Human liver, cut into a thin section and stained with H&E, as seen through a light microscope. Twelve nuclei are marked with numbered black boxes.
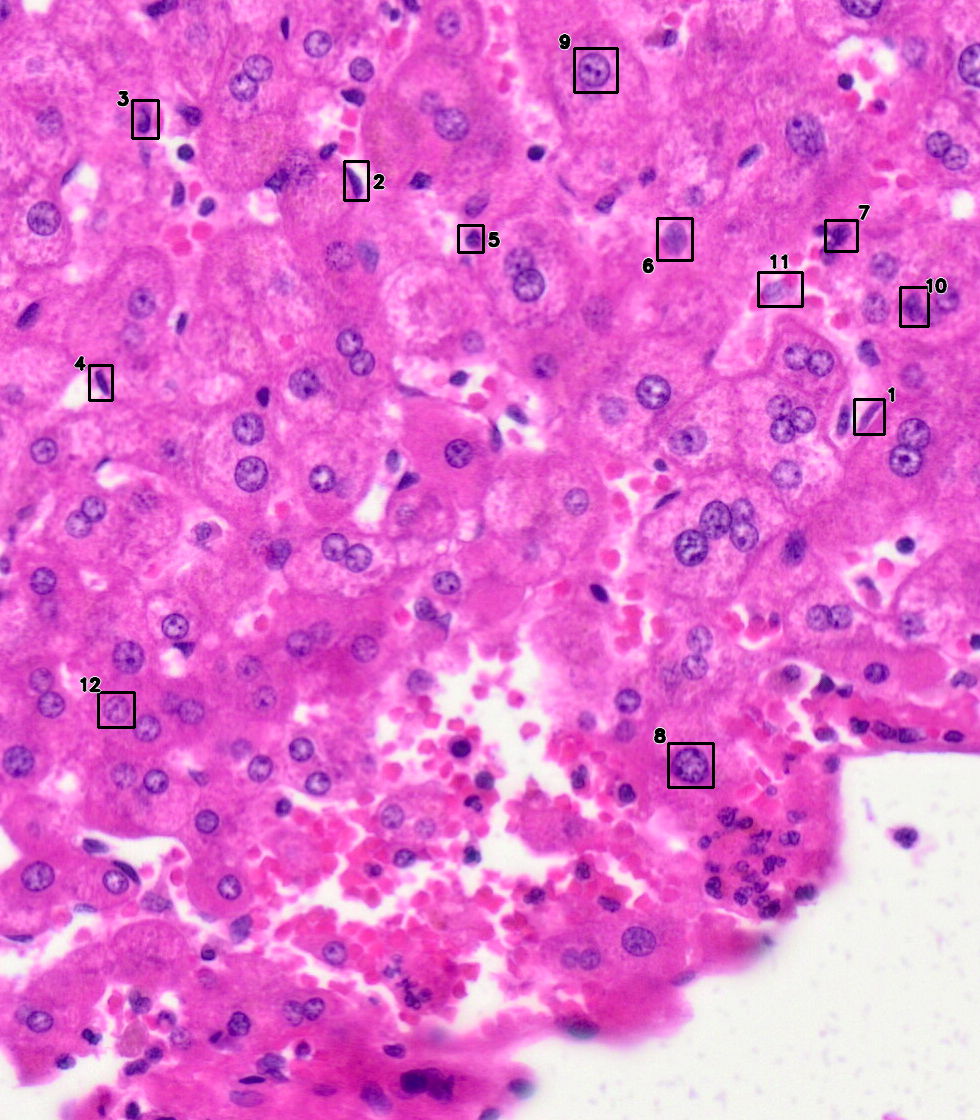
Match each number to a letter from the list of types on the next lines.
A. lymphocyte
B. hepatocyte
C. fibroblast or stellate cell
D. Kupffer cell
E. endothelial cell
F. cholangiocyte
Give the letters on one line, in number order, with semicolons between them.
D; E; C; E; A; E; C; B; B; C; D; B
